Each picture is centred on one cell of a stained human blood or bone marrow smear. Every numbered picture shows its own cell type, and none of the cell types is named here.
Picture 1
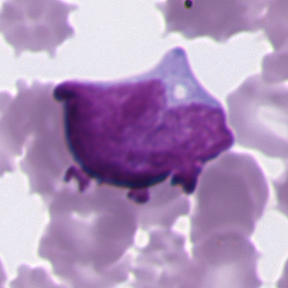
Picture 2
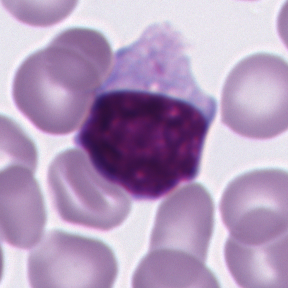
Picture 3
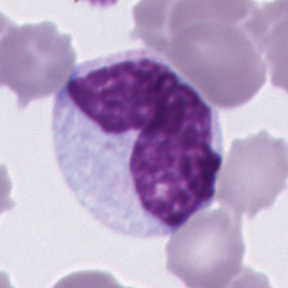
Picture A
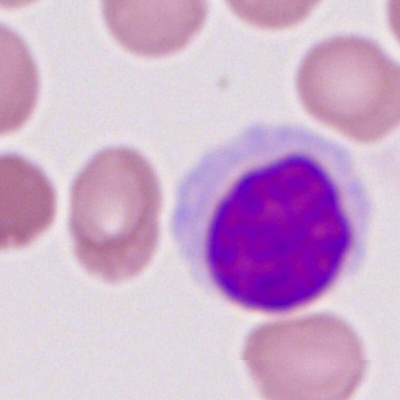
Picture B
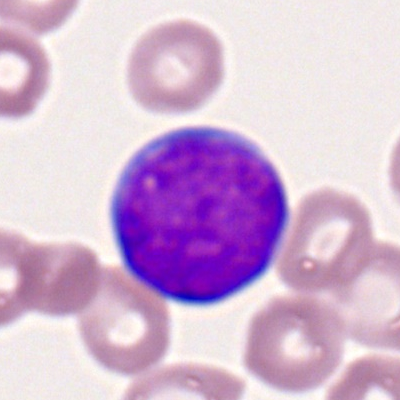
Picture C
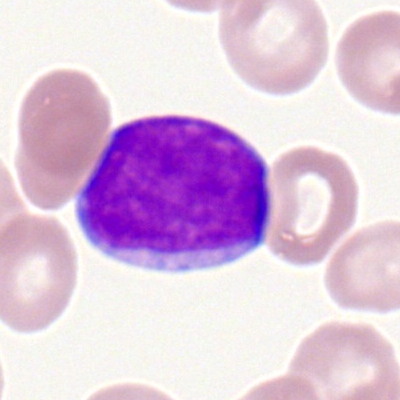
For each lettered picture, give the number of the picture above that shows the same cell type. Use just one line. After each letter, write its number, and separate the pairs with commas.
A 2, B 1, C 1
